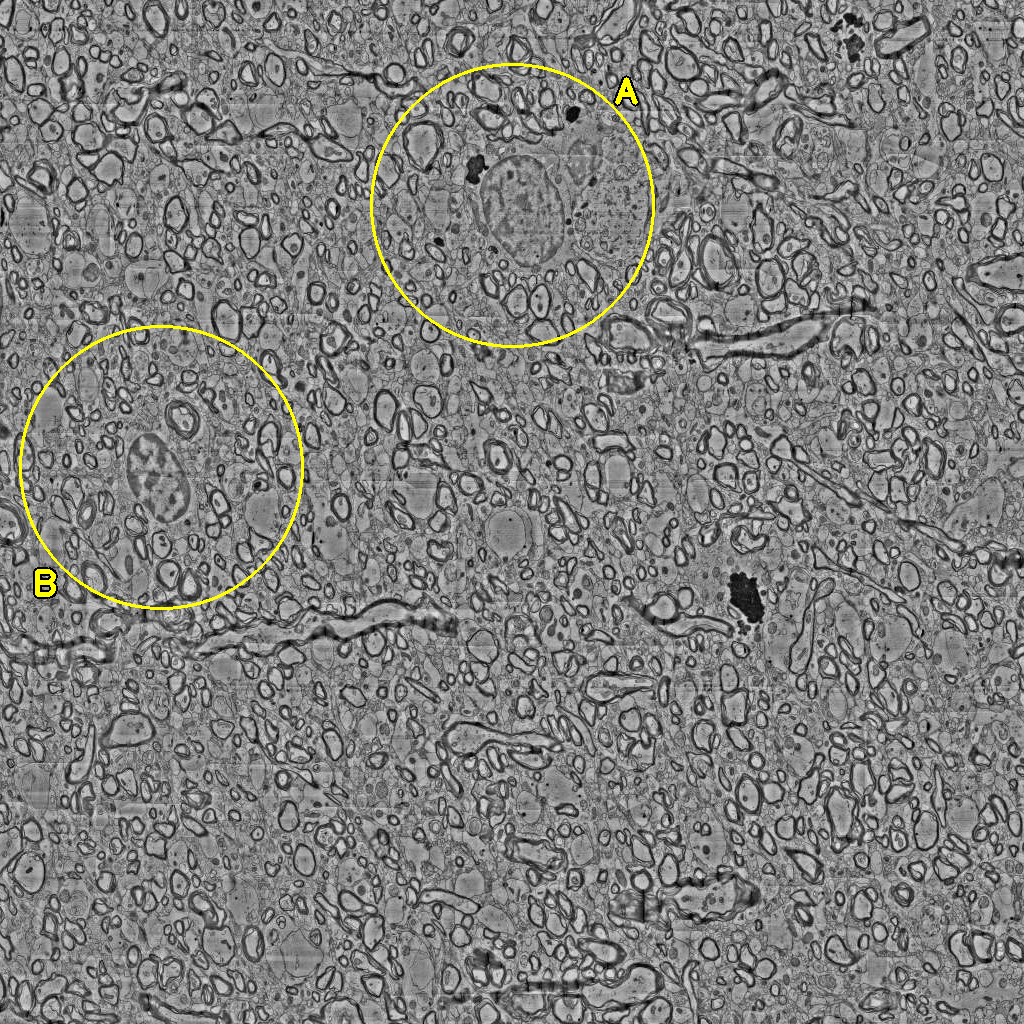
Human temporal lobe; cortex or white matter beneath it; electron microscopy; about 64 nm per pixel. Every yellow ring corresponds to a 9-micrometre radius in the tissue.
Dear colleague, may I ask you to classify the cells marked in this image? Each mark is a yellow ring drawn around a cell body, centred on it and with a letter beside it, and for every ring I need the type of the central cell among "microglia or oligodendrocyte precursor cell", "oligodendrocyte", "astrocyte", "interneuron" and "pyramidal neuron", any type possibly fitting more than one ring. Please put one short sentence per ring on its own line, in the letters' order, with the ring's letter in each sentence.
Ring A contains an oligodendrocyte at its centre.
Ring B contains a microglial cell or oligodendrocyte precursor cell at its centre.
